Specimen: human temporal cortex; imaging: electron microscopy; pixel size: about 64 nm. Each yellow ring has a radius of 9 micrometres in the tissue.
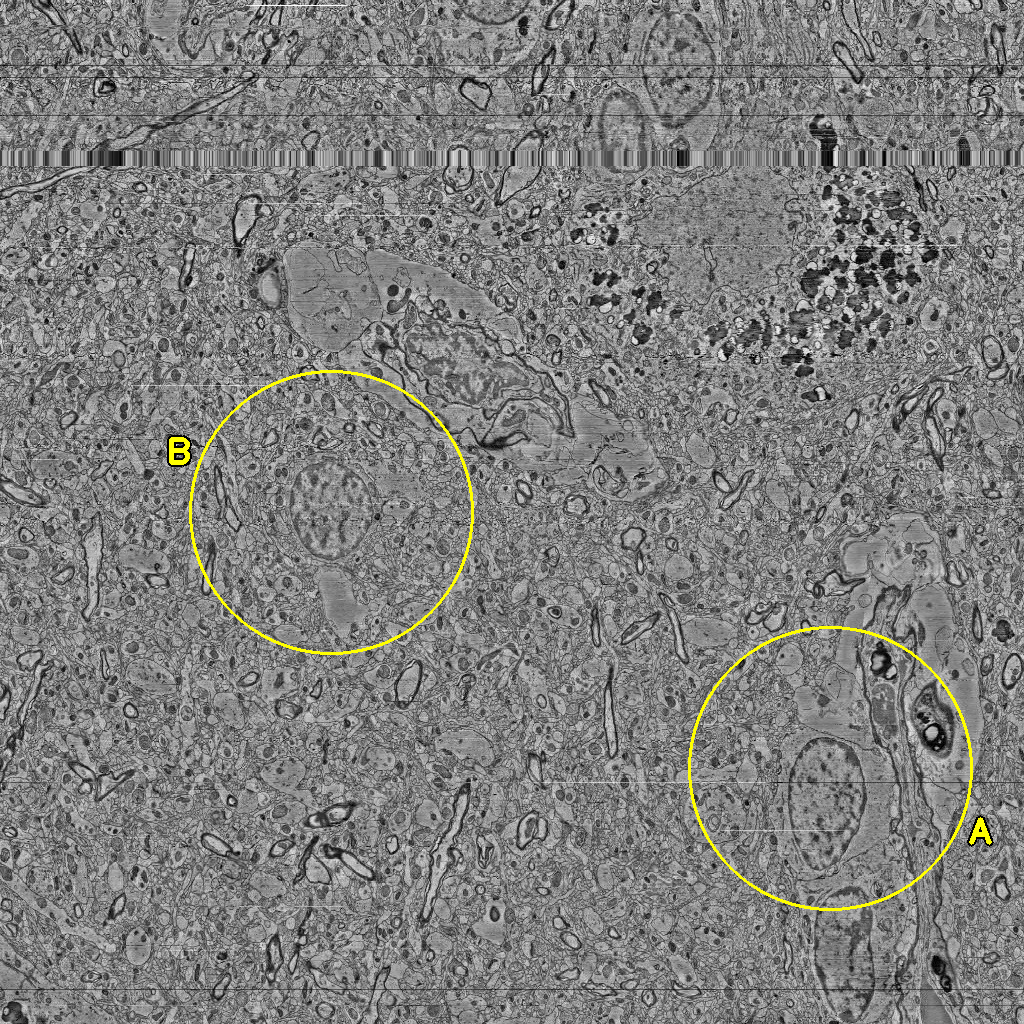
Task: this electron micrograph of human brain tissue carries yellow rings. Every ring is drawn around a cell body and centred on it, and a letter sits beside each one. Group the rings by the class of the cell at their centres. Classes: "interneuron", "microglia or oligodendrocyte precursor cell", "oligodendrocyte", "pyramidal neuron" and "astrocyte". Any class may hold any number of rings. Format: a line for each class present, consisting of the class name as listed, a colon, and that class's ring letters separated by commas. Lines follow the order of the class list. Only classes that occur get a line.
microglia or oligodendrocyte precursor cell: A
oligodendrocyte: B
